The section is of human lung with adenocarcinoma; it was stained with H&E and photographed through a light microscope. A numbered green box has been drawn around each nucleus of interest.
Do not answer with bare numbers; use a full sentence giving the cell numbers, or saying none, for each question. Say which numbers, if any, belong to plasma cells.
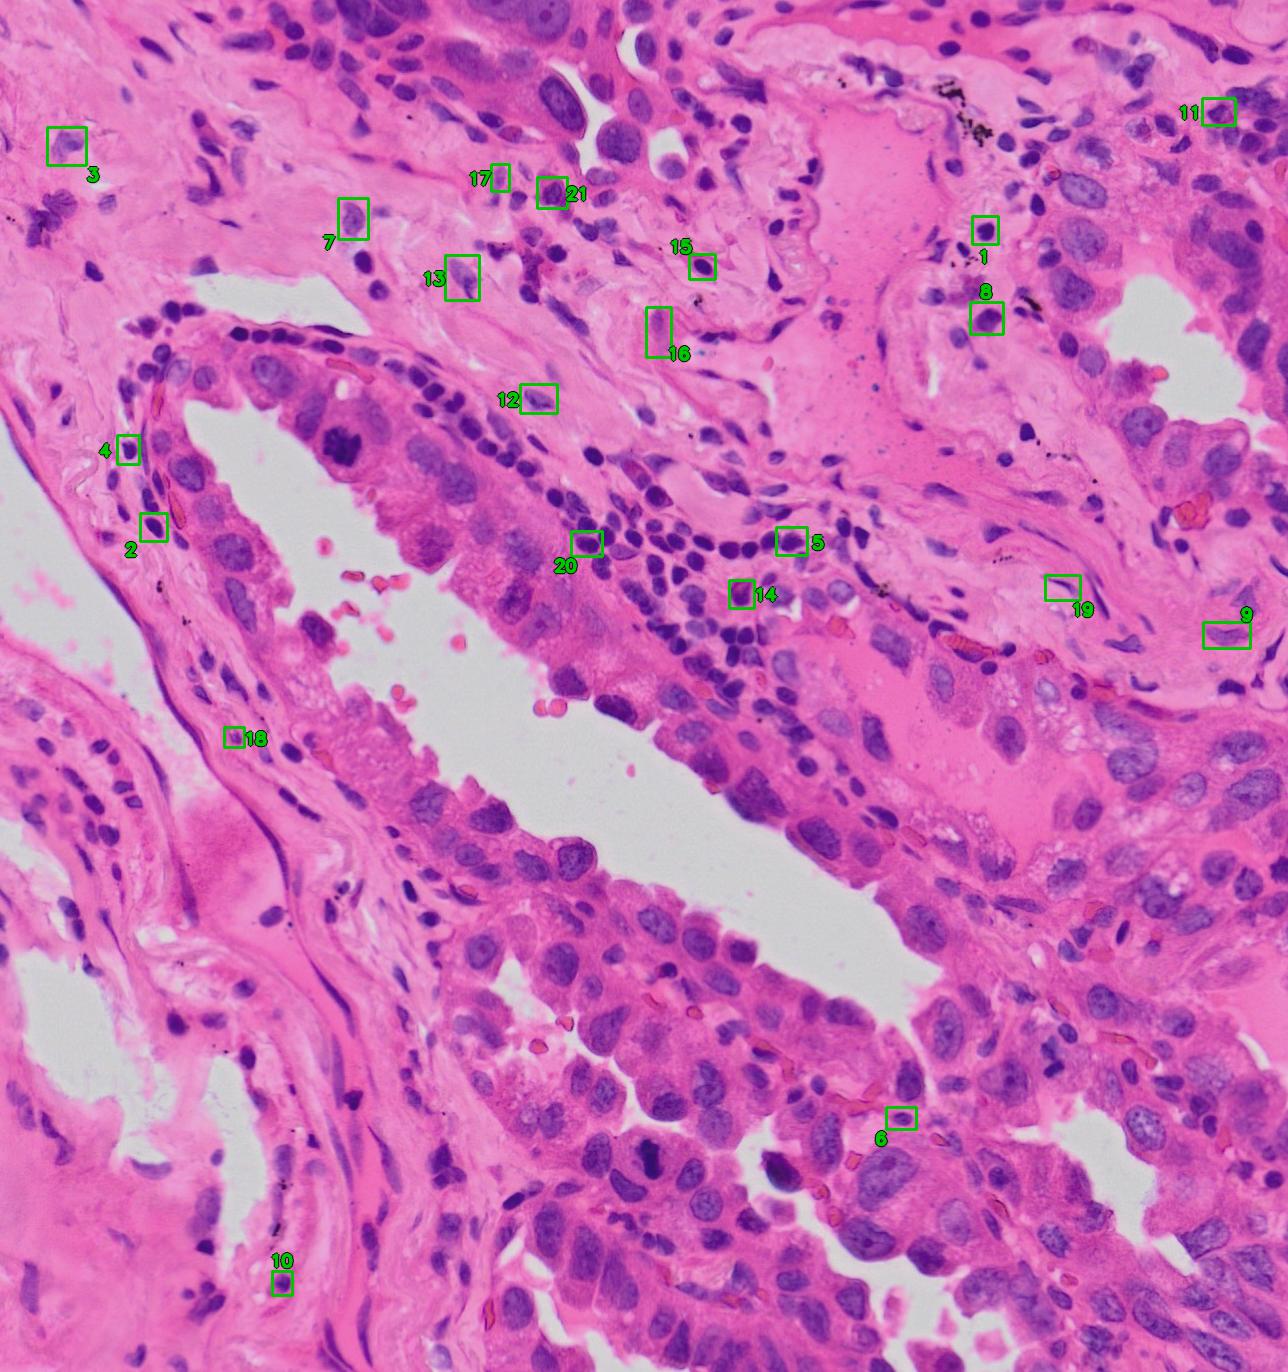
In this section, the cells numbered 8, 11, 14 and 21 are plasma cells.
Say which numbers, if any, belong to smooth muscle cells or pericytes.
The cells labelled 9, 10, 16 and 18 in this section are smooth muscle cells or pericytes.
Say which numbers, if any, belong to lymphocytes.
The cells marked with the numbers 1, 2, 4, 5, 6 and 20 are lymphocytes.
